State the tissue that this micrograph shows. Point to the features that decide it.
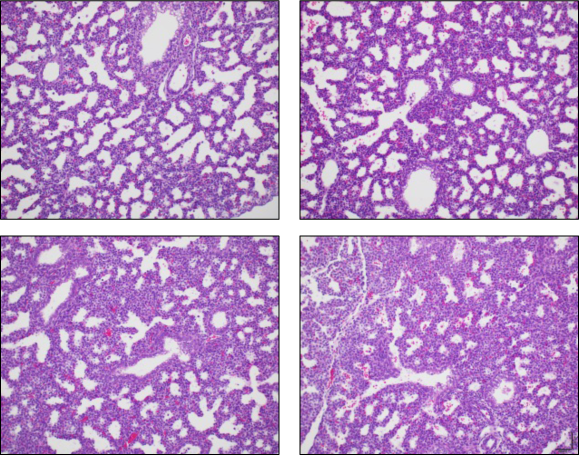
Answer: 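Lungs. Dense purple-stained tissue is broken up by many irregular, branching white airspaces. A larger round lumen with a thicker wall, like an airway or vessel, lies in one field.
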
